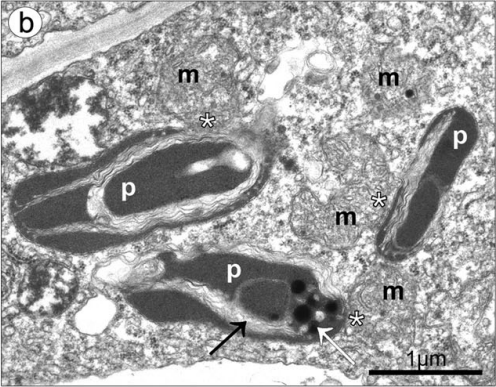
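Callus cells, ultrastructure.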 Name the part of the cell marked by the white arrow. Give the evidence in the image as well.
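Small round very electron-dense bodies clustered at one end of an elongated organelle. The bodies lie inside the organelle's envelope. That points to this answer: plastoglobuli.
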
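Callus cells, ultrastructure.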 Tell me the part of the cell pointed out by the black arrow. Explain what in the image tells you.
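Thin membrane lines running lengthwise inside a dense elongated organelle.
Internal membranes.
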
